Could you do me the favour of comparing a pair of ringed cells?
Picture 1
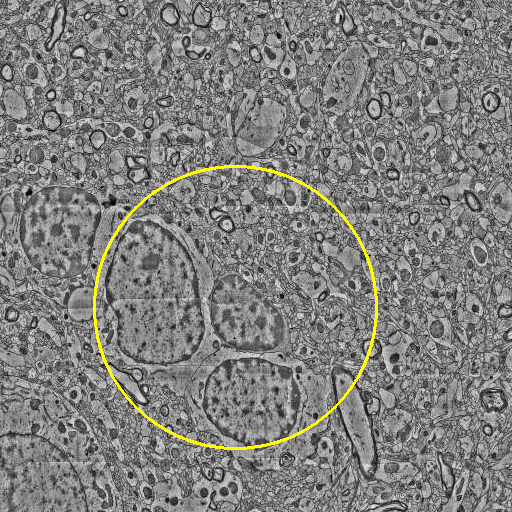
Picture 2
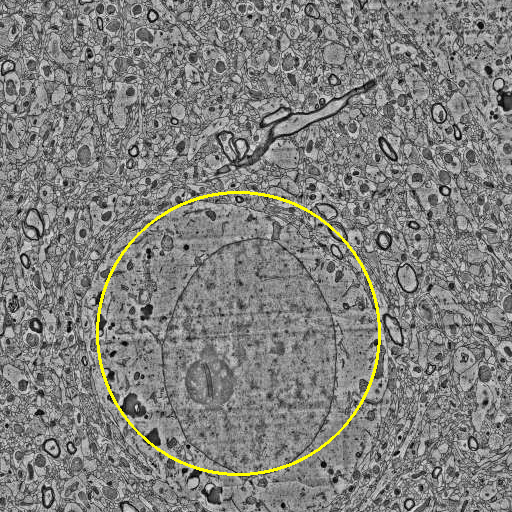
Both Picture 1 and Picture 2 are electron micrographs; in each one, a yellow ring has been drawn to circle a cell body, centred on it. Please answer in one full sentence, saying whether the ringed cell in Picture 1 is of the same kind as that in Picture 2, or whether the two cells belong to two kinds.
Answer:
The ringed cells in Picture 1 and Picture 2 belong to two kinds.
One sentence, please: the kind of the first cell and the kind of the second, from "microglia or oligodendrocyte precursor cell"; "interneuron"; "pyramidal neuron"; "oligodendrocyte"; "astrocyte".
The ring in the first picture surrounds an oligodendrocyte, and the ring in the second surrounds a pyramidal neuron.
